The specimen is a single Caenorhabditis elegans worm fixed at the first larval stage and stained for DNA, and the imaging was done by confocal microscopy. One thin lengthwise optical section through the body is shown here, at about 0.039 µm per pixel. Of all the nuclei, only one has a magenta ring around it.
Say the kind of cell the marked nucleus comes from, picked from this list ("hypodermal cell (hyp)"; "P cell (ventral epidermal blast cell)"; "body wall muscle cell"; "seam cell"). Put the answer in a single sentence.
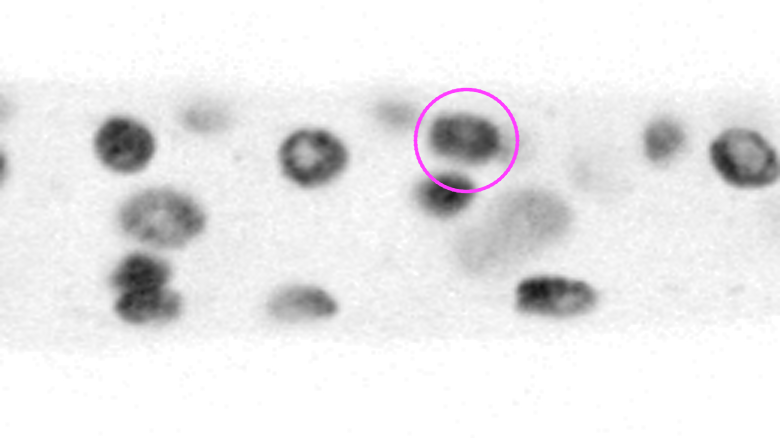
It belongs to a P cell (ventral epidermal blast cell).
